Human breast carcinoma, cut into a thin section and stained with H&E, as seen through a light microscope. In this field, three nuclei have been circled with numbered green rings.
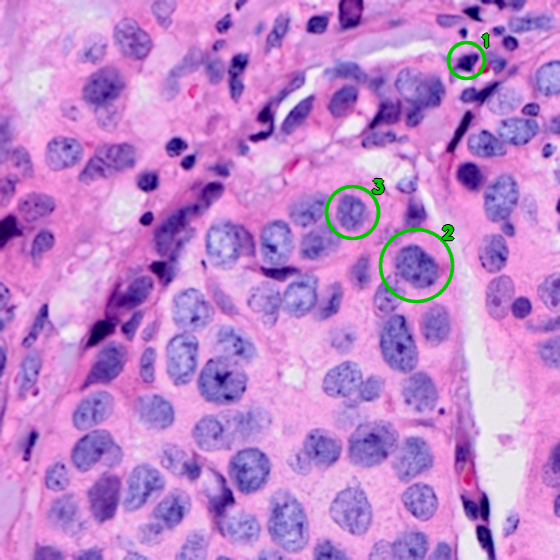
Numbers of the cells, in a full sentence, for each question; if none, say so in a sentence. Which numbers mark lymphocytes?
Cell 1 is a lymphocyte, and that holds for no other numbered cell.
